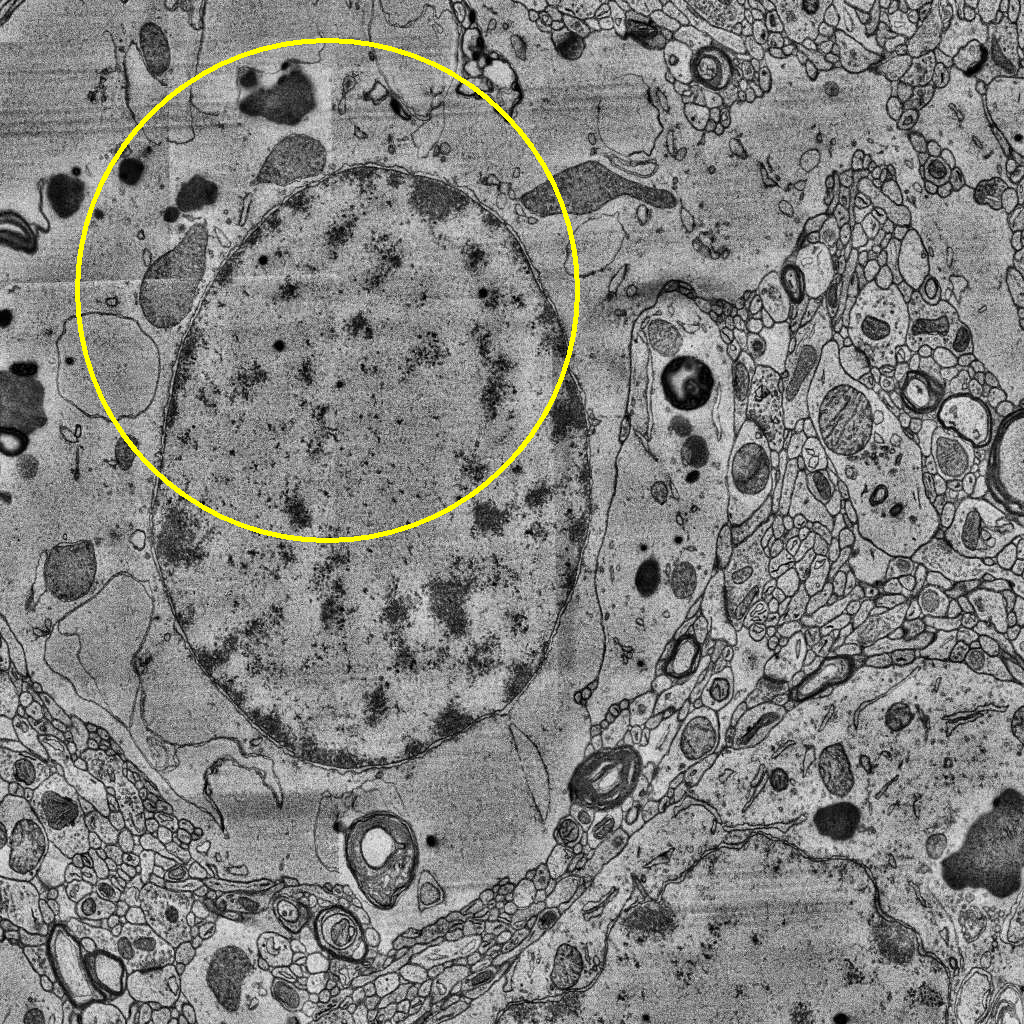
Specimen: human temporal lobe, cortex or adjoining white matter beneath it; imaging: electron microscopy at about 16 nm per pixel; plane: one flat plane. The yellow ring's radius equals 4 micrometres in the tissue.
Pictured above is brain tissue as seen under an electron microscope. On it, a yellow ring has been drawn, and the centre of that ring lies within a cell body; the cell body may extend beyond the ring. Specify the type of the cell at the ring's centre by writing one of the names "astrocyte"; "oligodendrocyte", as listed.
astrocyte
